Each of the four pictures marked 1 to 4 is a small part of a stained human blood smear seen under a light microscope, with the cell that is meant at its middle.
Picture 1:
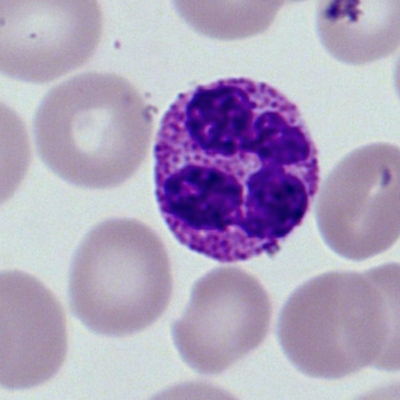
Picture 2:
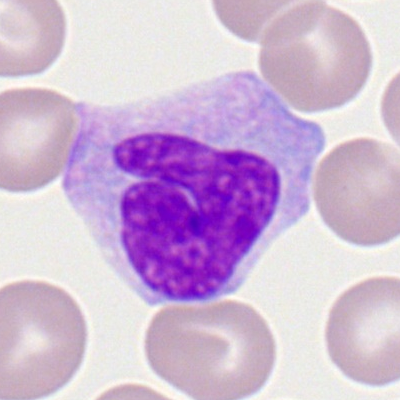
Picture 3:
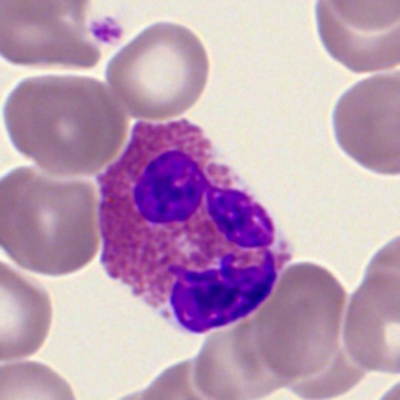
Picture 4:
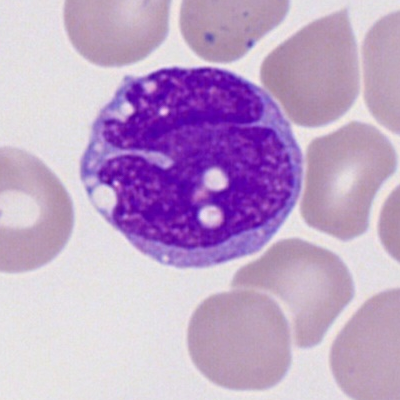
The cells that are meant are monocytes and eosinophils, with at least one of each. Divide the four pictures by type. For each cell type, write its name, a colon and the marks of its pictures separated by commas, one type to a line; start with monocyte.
monocyte: 2, 4
eosinophil: 1, 3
